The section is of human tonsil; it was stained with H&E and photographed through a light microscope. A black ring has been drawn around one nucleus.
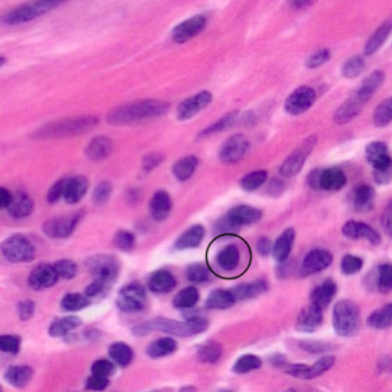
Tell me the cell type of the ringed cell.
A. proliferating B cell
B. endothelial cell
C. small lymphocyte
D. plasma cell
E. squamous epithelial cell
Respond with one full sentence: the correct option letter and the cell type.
The right option is D, the ringed cell being a plasma cell.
